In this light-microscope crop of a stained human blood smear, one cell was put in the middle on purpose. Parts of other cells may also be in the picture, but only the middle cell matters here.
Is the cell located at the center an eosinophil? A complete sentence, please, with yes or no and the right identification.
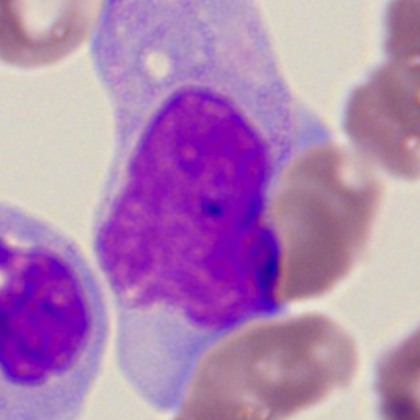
No, that would be a monocyte, not an eosinophil, for the cell at the centre.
